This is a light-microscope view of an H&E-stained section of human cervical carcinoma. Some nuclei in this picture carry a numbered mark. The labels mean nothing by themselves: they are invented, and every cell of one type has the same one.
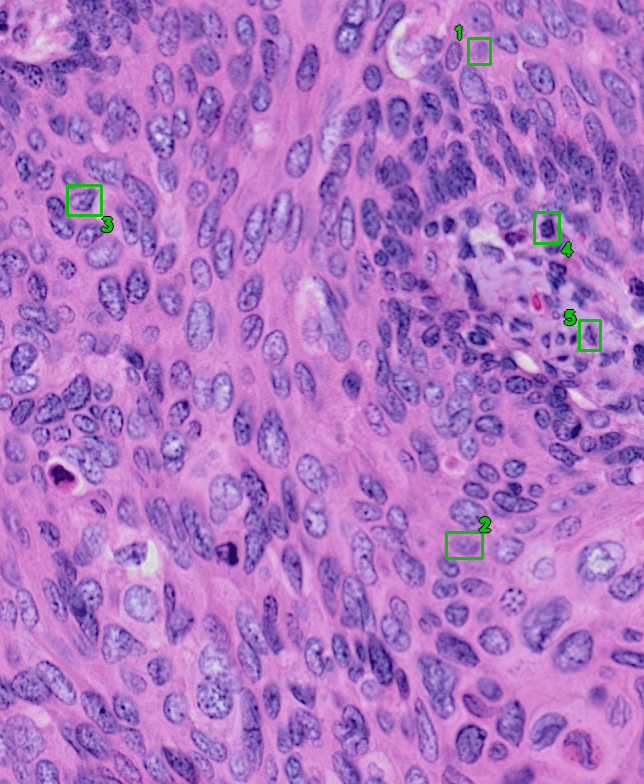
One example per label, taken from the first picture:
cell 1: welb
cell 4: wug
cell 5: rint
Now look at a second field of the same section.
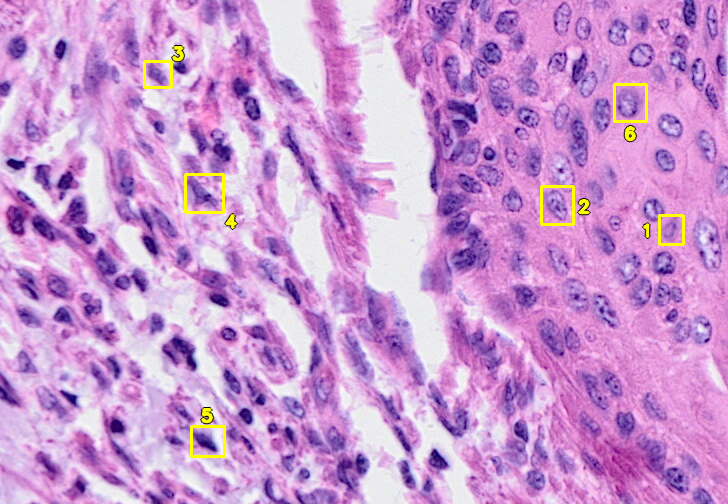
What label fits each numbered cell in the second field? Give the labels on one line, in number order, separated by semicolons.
welb; welb; rint; rint; wug; welb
